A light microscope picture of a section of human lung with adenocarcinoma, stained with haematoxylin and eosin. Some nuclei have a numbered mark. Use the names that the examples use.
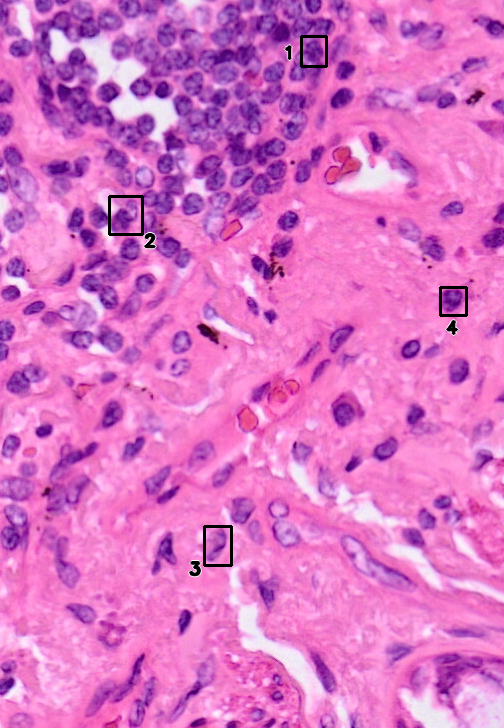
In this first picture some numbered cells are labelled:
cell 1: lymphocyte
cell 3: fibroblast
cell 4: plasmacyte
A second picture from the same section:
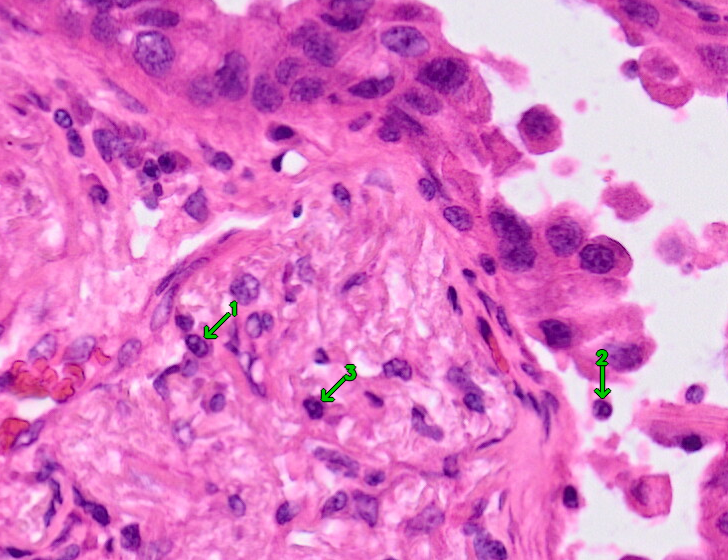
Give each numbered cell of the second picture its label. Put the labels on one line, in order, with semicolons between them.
plasmacyte; lymphocyte; plasmacyte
